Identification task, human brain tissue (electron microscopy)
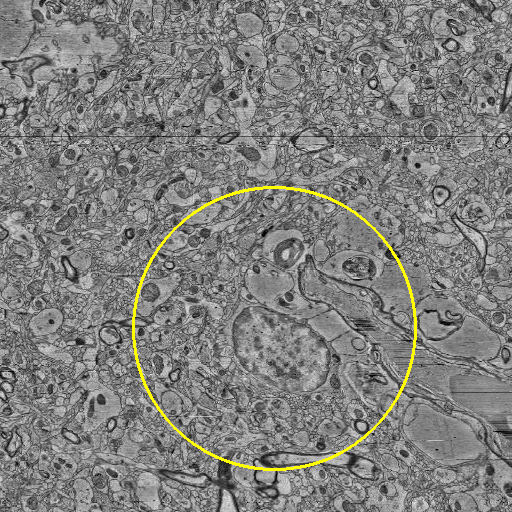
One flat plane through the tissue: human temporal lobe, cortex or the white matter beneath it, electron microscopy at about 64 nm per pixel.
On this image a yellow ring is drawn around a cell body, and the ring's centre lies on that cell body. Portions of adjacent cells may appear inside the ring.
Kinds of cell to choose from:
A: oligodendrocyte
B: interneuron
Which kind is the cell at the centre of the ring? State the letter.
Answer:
A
